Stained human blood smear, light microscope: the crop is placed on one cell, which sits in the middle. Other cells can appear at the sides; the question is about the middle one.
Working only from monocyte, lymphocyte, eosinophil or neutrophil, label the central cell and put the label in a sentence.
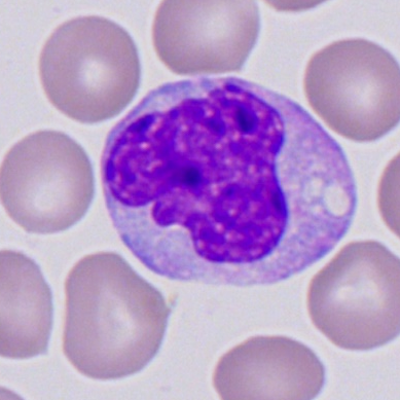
The cell in the middle of the field of view is a monocyte.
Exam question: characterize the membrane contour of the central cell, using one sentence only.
Thanks for asking; the cell edge is smooth and has no projections.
